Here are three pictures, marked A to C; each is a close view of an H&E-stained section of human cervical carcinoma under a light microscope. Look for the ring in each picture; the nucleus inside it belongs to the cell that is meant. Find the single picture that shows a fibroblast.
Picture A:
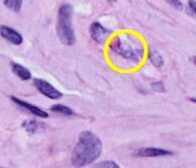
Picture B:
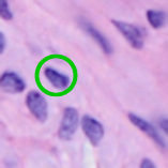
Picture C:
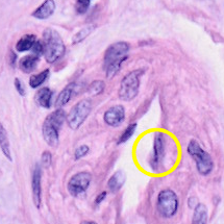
B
